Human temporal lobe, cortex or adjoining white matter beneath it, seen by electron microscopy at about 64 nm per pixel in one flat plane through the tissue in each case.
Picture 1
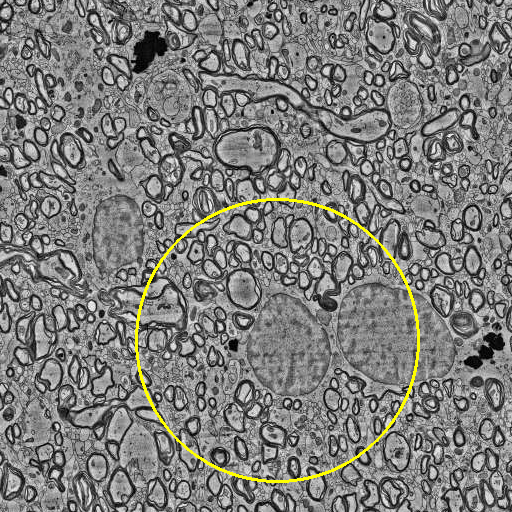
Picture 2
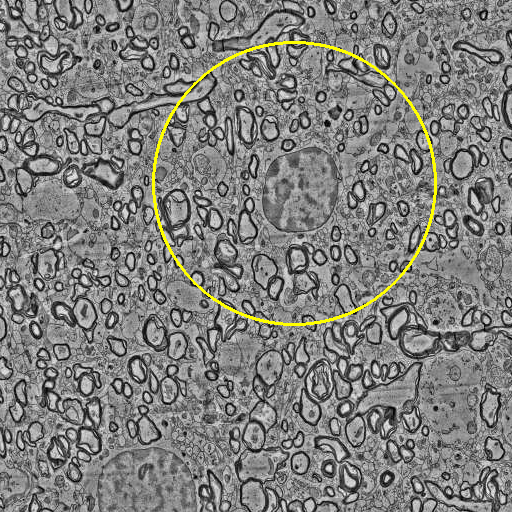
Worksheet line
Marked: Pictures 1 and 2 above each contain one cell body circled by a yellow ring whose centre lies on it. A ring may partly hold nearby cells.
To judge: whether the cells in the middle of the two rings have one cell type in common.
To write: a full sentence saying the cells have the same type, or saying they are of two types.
The cells in the middle of the rings in Picture 1 and Picture 2 are of two types.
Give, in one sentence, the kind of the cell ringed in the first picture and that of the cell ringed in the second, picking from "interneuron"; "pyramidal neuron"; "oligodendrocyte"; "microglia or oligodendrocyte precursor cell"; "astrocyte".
For the first picture it is an oligodendrocyte; for the second, a microglial cell or oligodendrocyte precursor cell.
